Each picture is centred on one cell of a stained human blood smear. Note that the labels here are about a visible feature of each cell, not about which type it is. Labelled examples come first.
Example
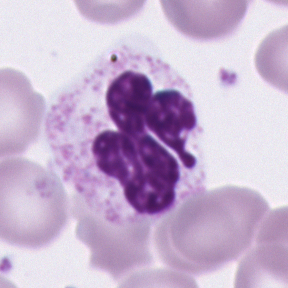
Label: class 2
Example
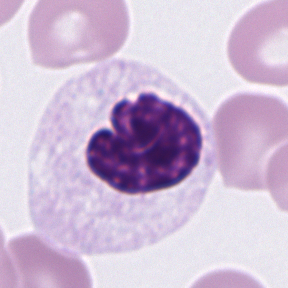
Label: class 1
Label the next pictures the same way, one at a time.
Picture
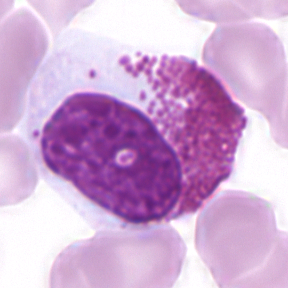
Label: class 1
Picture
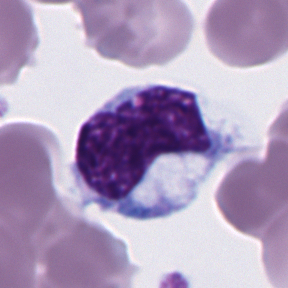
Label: class 1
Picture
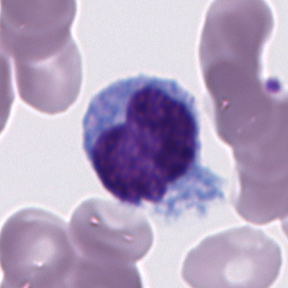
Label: class 1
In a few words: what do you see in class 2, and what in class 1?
class 2: lobed nucleus; class 1: single compact nucleus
